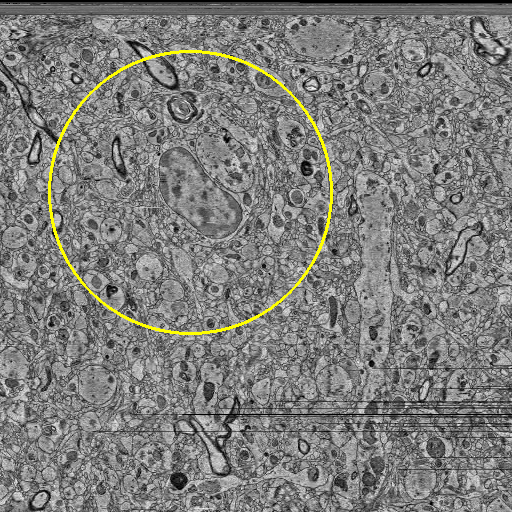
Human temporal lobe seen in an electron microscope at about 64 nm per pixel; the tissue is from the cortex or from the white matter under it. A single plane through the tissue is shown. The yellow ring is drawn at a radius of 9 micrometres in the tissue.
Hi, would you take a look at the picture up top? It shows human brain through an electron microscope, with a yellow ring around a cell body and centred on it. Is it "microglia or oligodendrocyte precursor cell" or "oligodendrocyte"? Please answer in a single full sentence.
The best fit for the cell in the middle of the ring is a microglial cell or oligodendrocyte precursor cell, I reckon.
